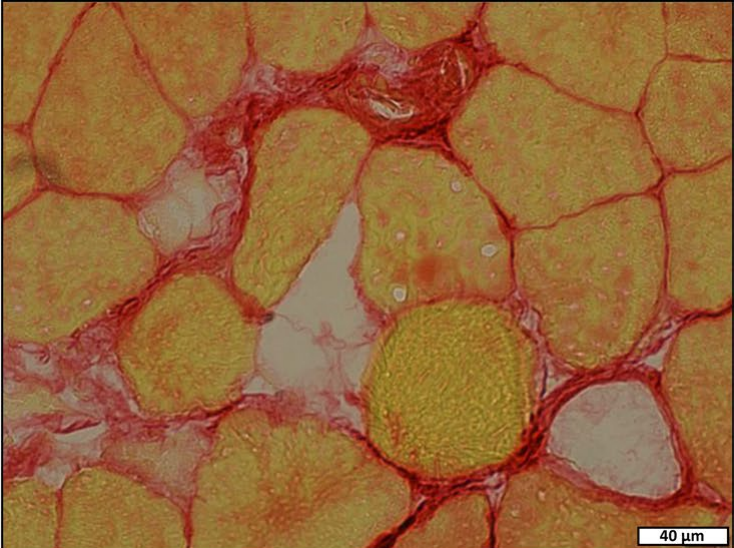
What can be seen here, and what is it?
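This cross-section of skeletal muscle shows closely packed, yellow-stained muscle fibers, mostly polygonal with a fine stippled texture. One fiber near the center is rounded and stains a brighter yellow than its neighbours. Several widened interstitial spaces are pale and contain loose, thin red strands.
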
